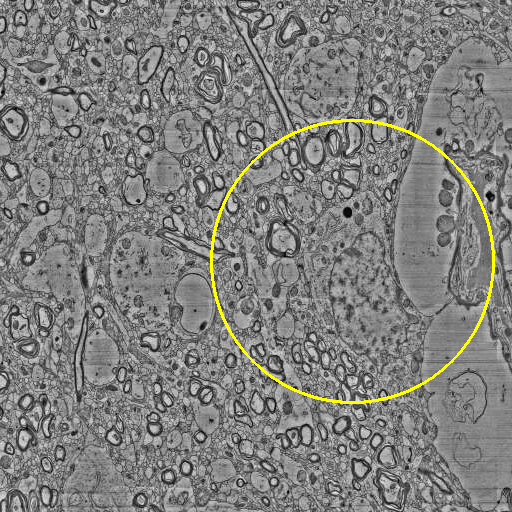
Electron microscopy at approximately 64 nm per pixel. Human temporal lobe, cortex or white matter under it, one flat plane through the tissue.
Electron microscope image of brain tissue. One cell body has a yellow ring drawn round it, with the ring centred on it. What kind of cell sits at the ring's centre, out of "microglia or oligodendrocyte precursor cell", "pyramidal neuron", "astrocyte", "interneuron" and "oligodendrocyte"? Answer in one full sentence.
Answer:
It is an interneuron whose cell body sits at the centre of the yellow ring.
